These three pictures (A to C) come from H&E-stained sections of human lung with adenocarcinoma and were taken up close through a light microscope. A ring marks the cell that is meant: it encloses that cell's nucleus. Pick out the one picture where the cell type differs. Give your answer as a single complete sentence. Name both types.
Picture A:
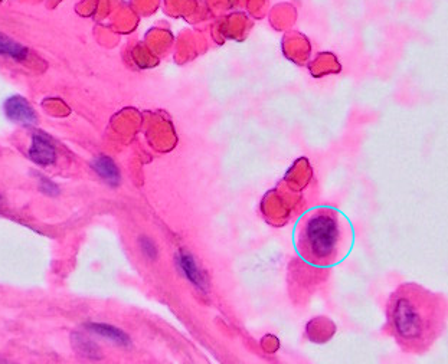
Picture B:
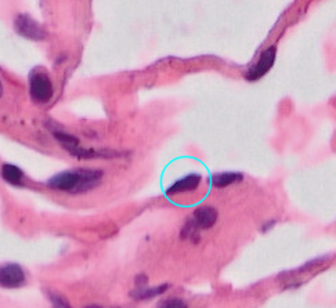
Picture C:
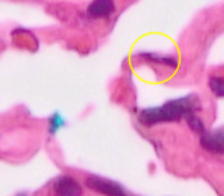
Picture A is the odd one out: it shows a “macrophage or monocyte”, while the others show type I pneumocytes.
